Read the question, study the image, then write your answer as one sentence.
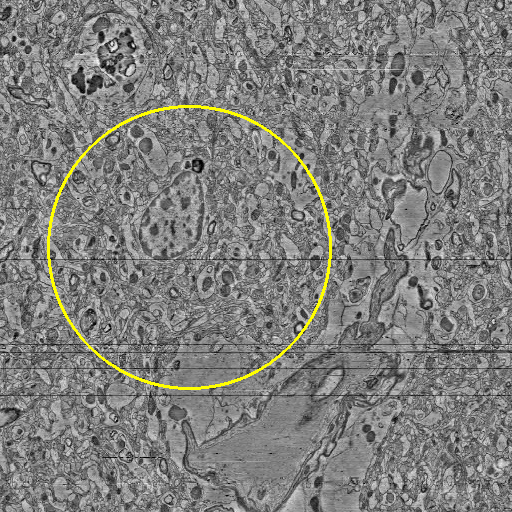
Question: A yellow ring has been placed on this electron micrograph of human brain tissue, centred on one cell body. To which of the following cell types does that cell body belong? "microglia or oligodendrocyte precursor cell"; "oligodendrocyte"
That cell body belongs to a microglial cell or oligodendrocyte precursor cell.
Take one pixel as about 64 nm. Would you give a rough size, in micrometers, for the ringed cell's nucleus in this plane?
The nucleus comes to approximately 6 by 4 micrometres and is clearly longer than it is wide in this plane.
